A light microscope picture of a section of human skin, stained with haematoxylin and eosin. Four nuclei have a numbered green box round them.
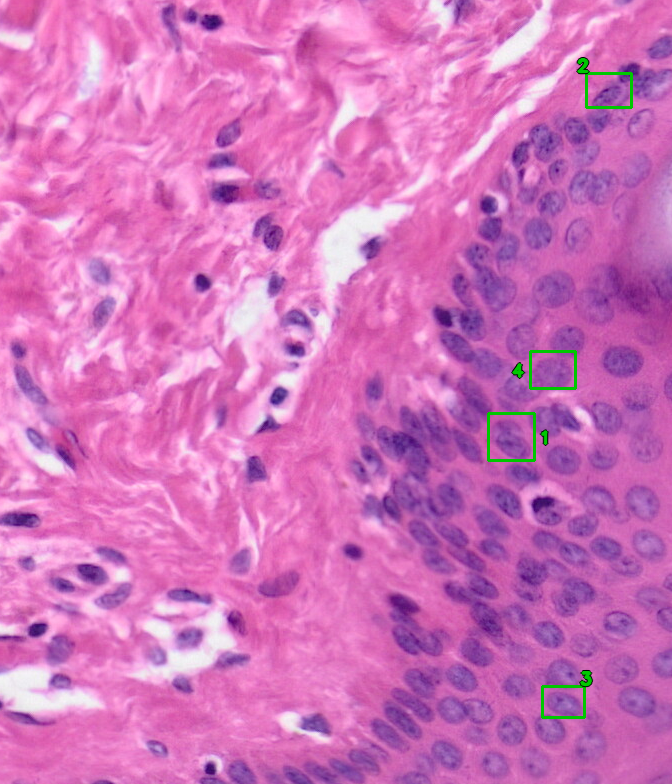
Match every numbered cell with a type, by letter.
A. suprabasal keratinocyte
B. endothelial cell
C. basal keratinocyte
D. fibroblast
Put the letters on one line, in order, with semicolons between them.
A; C; A; A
